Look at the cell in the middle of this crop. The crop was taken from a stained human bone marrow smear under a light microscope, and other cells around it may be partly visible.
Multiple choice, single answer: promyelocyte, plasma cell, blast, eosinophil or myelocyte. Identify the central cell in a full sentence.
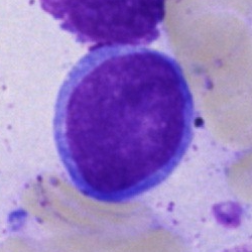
The cell at the middle of the frame should be recorded as a blast.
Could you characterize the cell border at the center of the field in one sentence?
Its periphery is smooth, and no projections arise from it.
